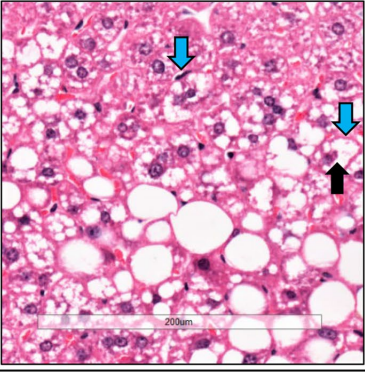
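This section of liver shows hepatocytes crowded with fat, with ballooned hepatocytes and Mallory–Denk bodies among them. Many hepatocytes hold round, sharply edged, clear vacuoles, some as one large droplet, others as many small droplets around a central round nucleus. Scattered cells are swollen, with pale, wispy, cleared cytoplasm instead of the even pink of their neighbours. Within one such pale cell lies a small, dense, pink clump. The hepatocyte nuclei are round with a visible nucleolus, and the normal cord arrangement of the cells is largely obscured by the fat.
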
